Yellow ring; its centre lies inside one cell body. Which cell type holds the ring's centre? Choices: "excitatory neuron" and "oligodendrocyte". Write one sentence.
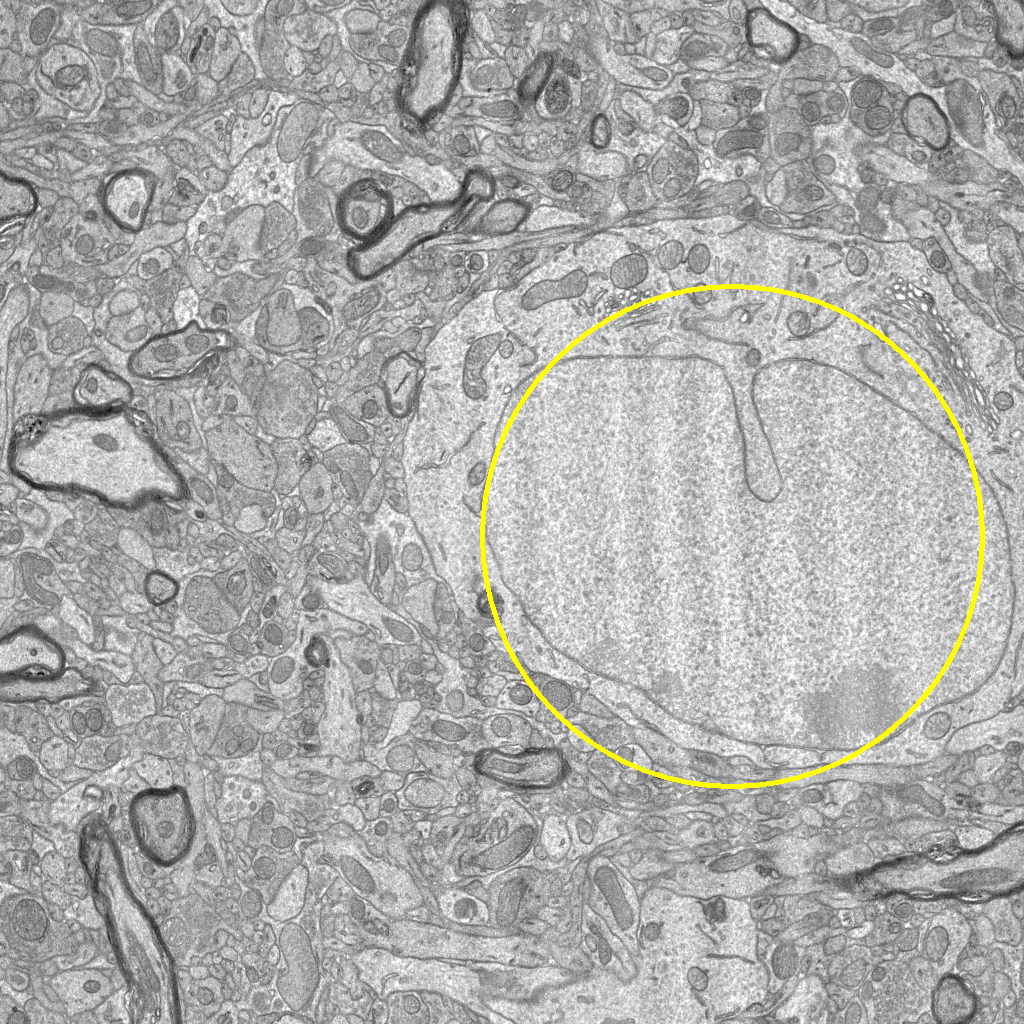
At the centre of the ring sits an excitatory neuron.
